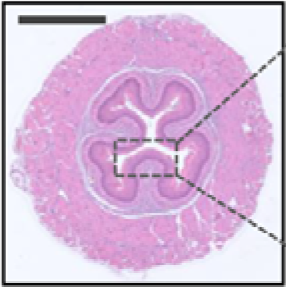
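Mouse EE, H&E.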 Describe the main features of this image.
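This low-power cross-section shows a tube whose narrow lumen is folded into a star-like shape. The lumen is lined by a darker purple epithelium with a thin, paler stroma beneath it. A thick pink outer wall surrounds the whole.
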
